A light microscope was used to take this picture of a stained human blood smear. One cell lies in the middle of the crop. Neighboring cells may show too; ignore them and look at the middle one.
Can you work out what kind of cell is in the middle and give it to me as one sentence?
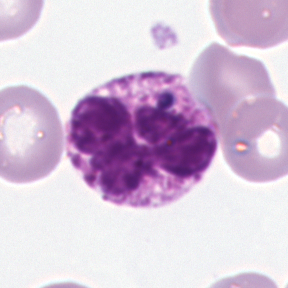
The central element of this crop is a cell, namely a basophil.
